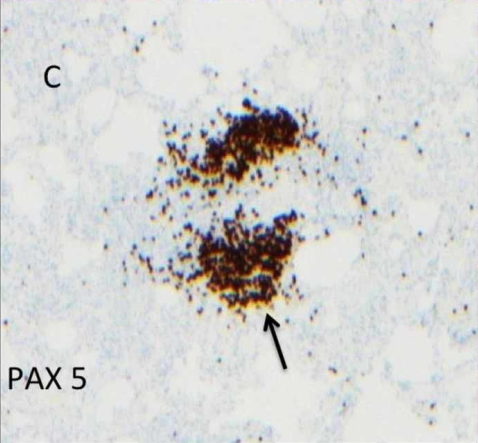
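The clusters lie one above the other near the centre, each densely packed, with scattered single brown cells fringing their edges. Outside these clusters only occasional isolated brown dots are seen; the remaining tissue is pale and lightly counterstained, with the clear spaces giving a lacy appearance.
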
